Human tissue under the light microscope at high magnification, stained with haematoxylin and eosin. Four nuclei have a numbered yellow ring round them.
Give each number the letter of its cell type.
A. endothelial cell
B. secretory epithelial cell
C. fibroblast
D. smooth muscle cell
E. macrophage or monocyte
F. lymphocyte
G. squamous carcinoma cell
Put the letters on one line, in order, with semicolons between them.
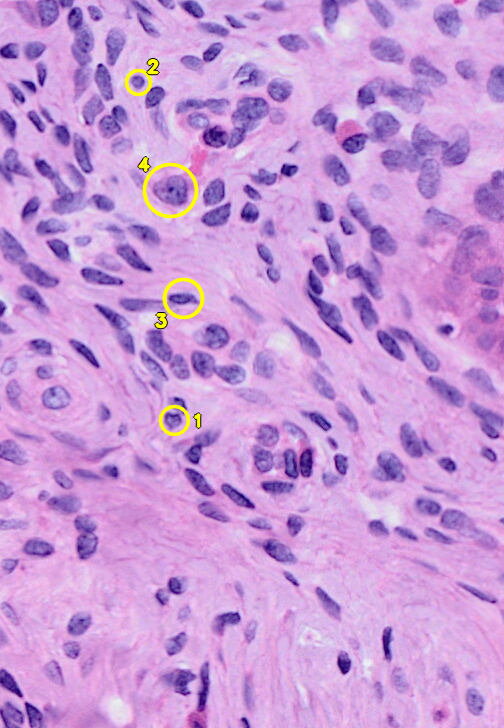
C; C; C; A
